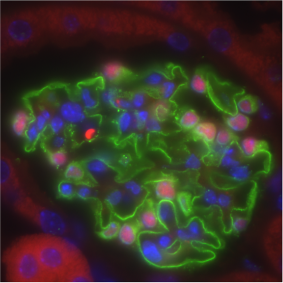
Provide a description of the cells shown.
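Renal glomerulus with a large lobulated capillary tuft. Green wavy lines outline the capillary loops in a continuous pattern. Numerous pink round nuclei, the podocytes, sit along the periphery of the loops. Blue-only nuclei are interspersed within the tuft. A narrow space separates the tuft from the capsule and surrounding tubules.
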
